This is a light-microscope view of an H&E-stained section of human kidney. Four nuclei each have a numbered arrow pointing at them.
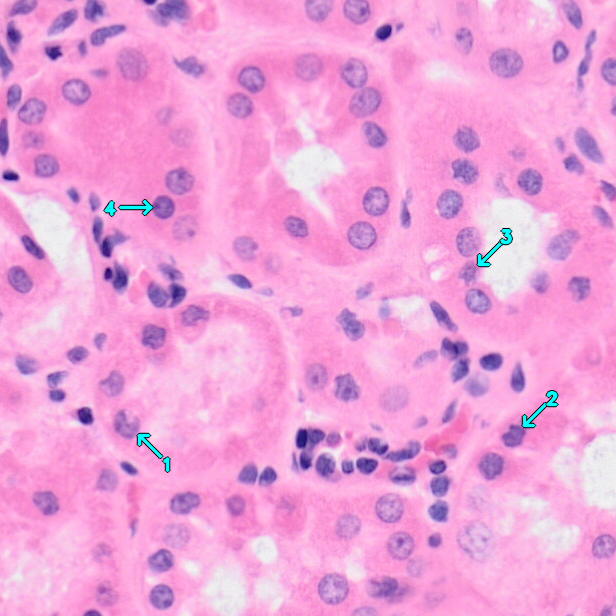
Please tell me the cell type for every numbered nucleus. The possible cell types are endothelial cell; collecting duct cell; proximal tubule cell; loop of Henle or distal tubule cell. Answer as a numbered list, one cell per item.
1. proximal tubule cell
2. proximal tubule cell
3. loop of Henle or distal tubule cell
4. proximal tubule cell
